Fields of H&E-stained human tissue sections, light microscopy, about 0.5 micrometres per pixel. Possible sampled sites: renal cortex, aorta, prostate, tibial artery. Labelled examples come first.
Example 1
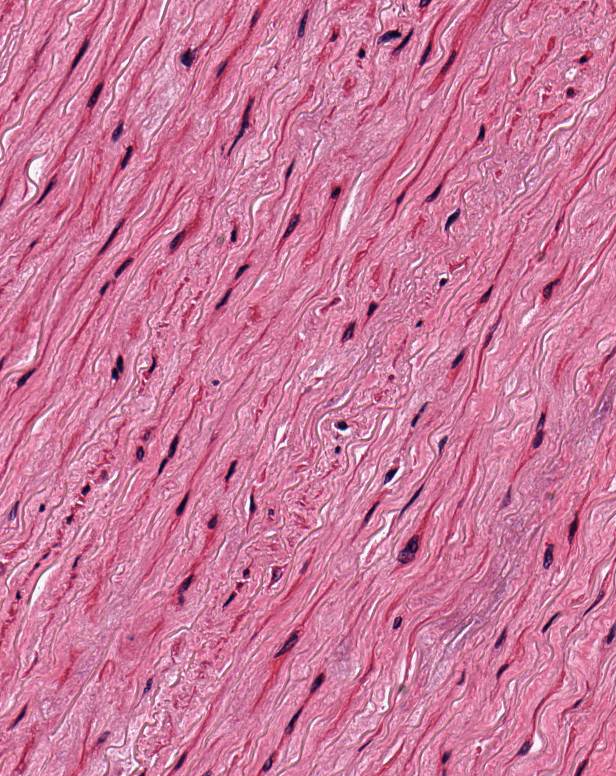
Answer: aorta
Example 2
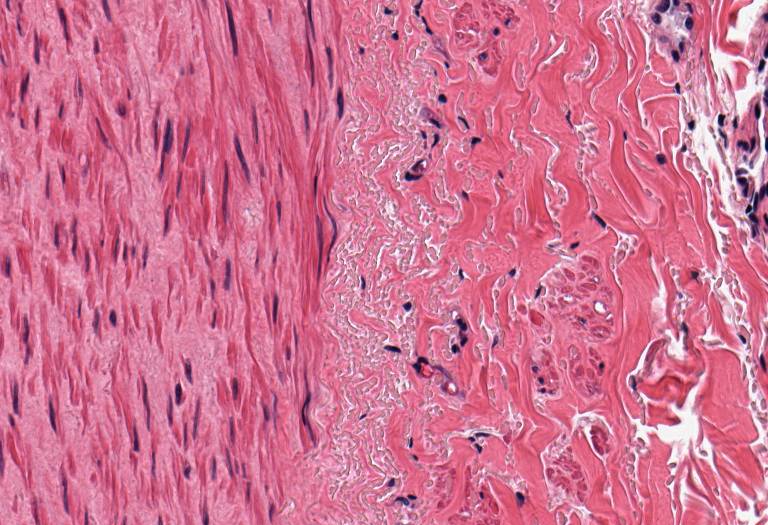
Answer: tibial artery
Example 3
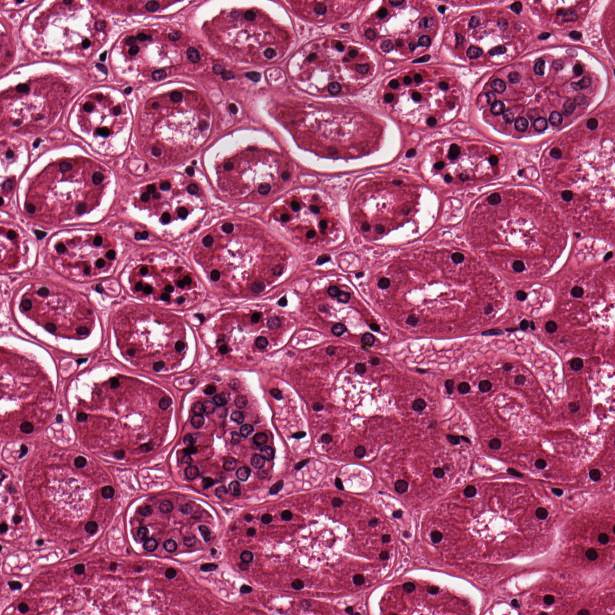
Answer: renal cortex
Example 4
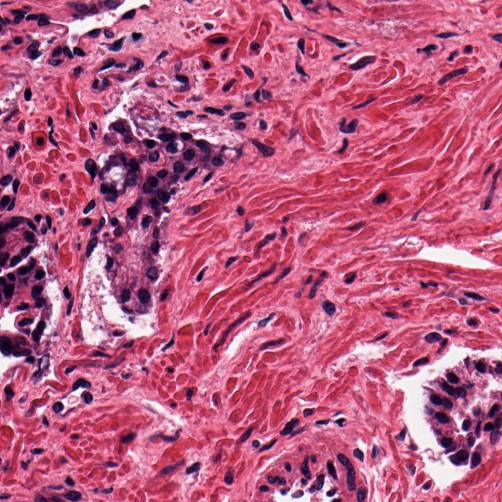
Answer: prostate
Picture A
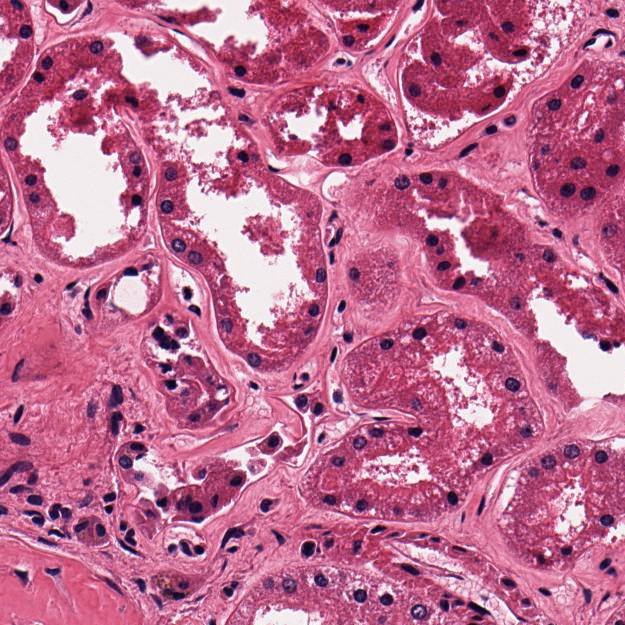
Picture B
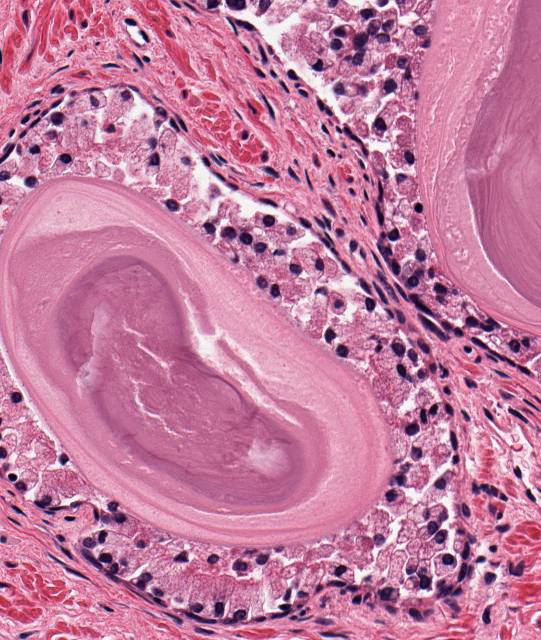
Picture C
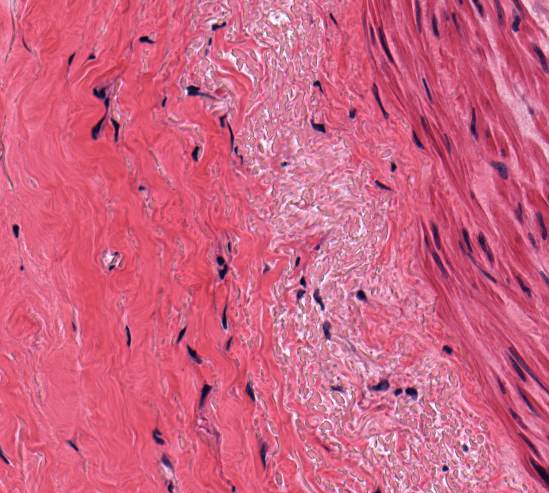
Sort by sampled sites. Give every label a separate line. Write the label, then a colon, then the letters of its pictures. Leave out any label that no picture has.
renal cortex: A
prostate: B
tibial artery: C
